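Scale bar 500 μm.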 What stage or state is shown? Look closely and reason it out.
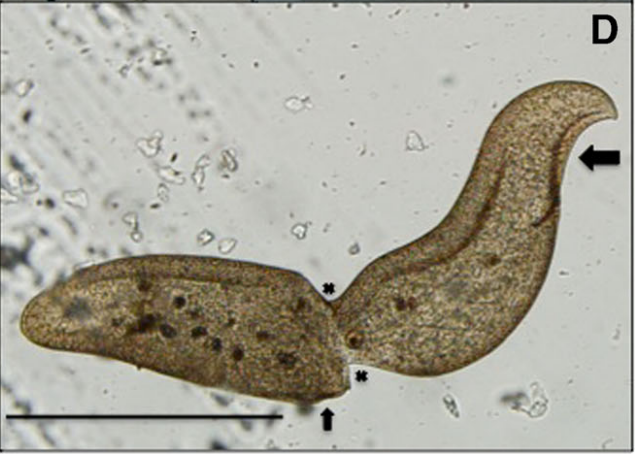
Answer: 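Two cell bodies are joined end to end by a narrow constriction.
Conclusion: dividing cell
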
